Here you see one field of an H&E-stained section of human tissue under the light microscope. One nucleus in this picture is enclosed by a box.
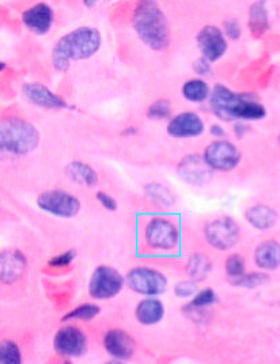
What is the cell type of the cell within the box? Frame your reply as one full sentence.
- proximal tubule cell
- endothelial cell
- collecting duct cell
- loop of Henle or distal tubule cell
As classified here, the cell within the box is a loop of Henle or distal tubule cell.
